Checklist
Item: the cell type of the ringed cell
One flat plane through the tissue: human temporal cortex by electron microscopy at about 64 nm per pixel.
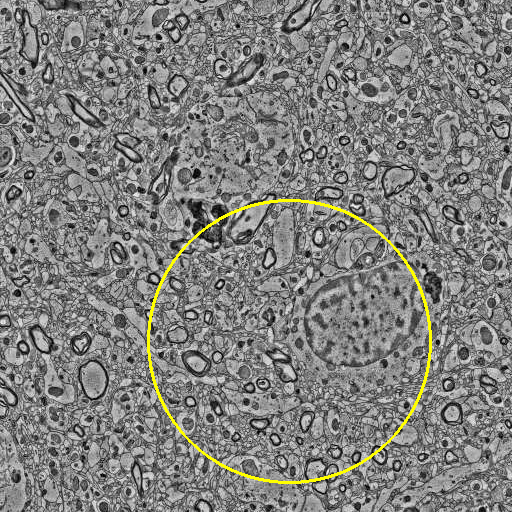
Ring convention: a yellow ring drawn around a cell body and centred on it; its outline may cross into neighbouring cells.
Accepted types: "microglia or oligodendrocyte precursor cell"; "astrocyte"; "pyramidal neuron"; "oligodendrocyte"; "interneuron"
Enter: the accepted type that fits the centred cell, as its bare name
oligodendrocyte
